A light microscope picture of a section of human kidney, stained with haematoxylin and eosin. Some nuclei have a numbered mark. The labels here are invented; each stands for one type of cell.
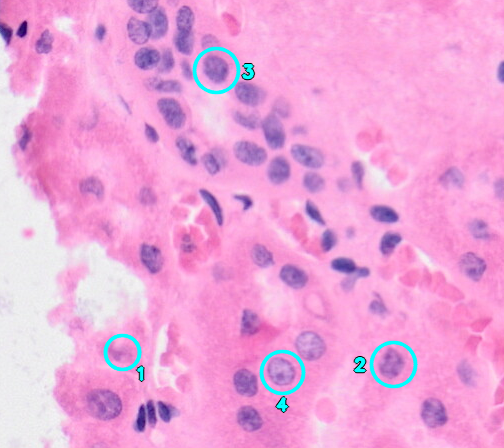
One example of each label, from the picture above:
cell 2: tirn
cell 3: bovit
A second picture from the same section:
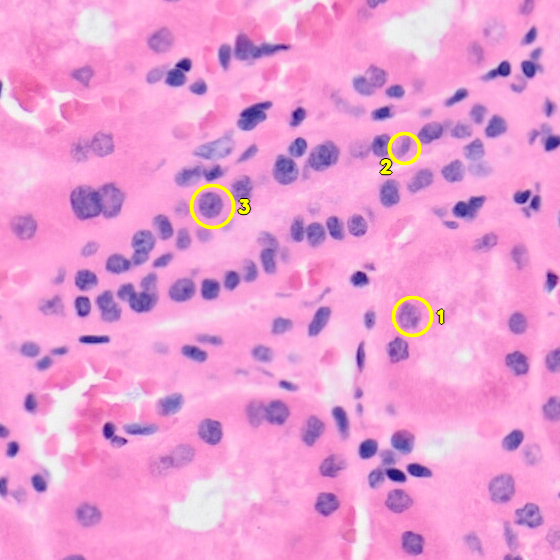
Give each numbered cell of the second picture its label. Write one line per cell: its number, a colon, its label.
1: tirn
2: bovit
3: bovit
